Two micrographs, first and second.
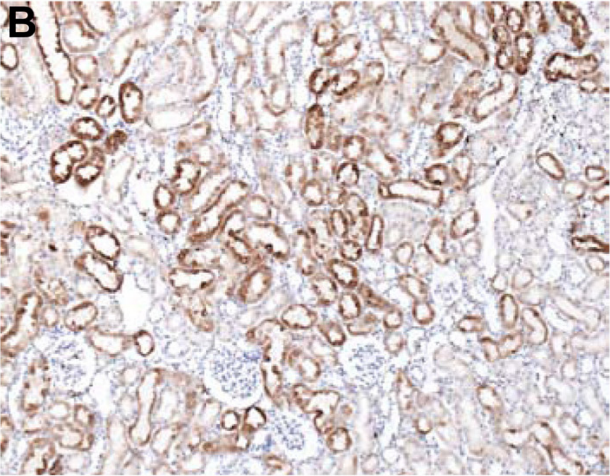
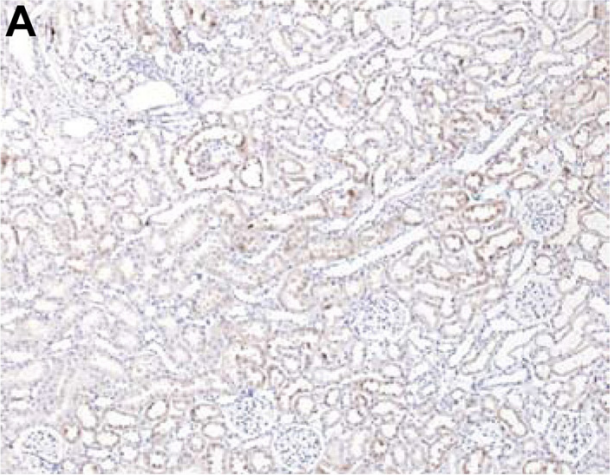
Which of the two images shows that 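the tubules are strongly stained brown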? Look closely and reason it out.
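First image: many tubules show dark brown staining of their lining cells. Second image: tubules show only faint pale brown tinge.
Answer: the first image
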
